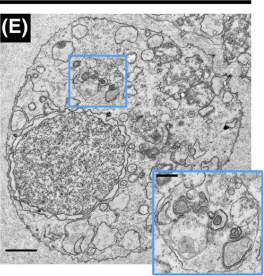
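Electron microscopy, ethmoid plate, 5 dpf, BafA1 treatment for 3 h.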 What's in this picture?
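A chondrocyte is seen in electron microscopy with a large rounded nucleus of granular chromatin on the lower left. The cytoplasm contains numerous membrane-bound vesicles of varied size and content. A boxed area, enlarged in an inset, shows a double-membrane-bounded vesicle enclosing membranous material, consistent with an autophagosome.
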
